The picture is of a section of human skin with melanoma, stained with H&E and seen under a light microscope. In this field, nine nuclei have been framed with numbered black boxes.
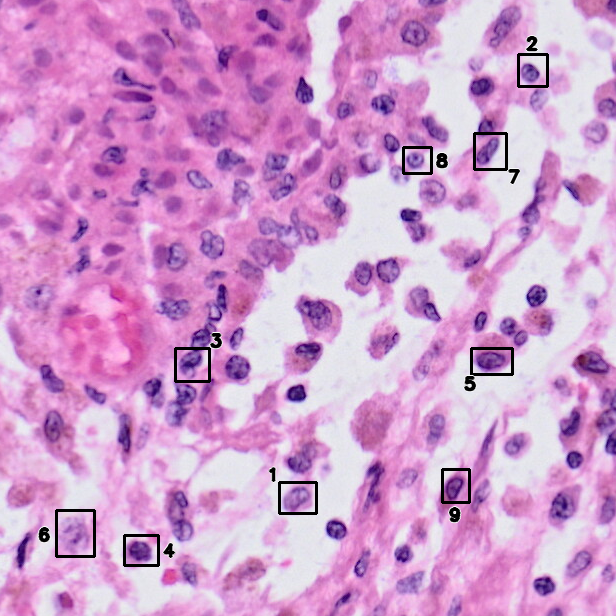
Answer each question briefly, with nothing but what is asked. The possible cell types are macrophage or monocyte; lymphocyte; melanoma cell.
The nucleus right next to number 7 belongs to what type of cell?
macrophage or monocyte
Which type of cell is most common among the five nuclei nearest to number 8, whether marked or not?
macrophage or monocyte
